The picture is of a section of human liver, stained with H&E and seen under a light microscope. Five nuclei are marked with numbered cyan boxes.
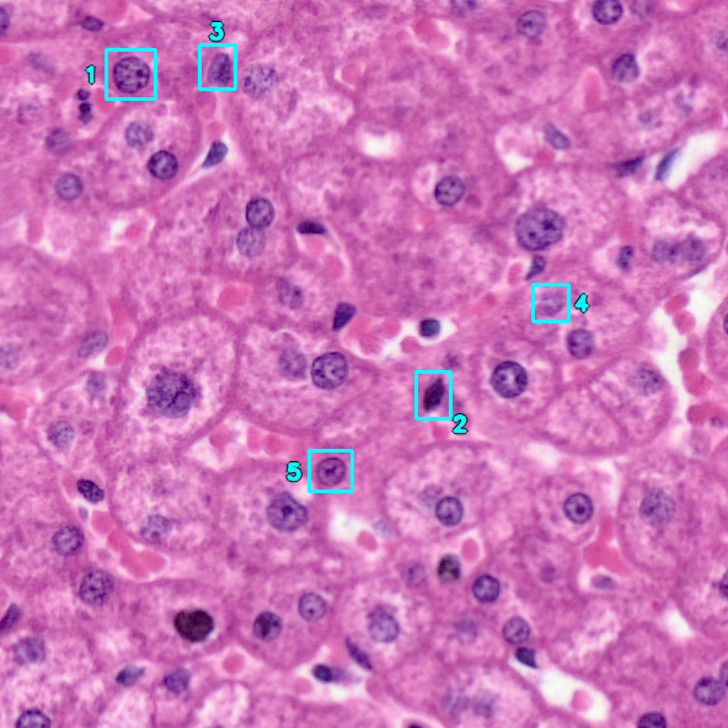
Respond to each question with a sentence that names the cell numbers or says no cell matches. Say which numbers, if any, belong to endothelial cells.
Cell 3 is an endothelial cell; every other numbered cell is something else.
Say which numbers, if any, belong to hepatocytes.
When it comes to cells 1, 4 and 5, they are hepatocytes.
